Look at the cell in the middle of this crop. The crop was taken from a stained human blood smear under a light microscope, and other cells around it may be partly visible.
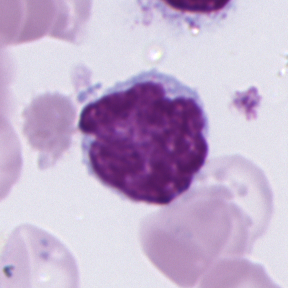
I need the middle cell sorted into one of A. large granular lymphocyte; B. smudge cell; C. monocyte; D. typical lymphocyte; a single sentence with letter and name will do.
Option D is accurate; the centrally placed cell is a typical lymphocyte.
